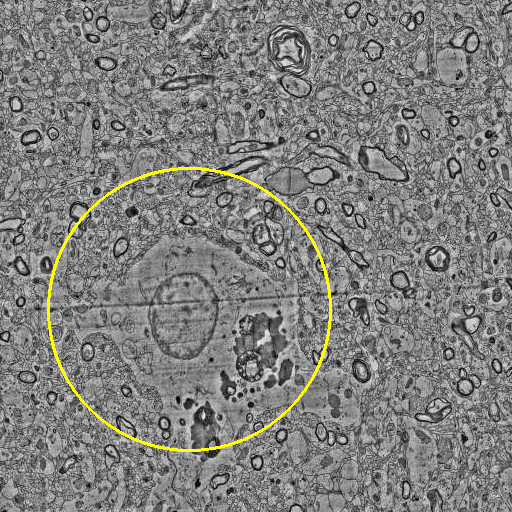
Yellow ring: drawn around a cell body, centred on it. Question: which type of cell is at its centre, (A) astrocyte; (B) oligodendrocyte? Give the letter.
A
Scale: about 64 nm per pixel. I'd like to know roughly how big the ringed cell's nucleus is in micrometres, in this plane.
In this plane the nucleus is about 5 micrometres by 4.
